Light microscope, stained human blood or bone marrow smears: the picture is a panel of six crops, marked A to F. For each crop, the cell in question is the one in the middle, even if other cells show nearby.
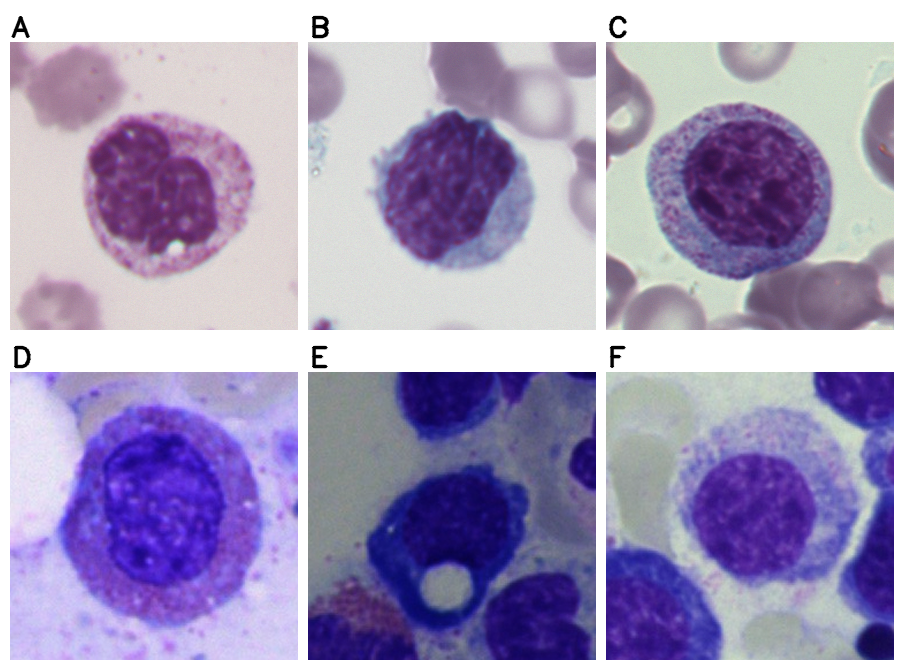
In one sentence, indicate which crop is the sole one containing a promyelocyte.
The crop showing a promyelocyte in this series is crop C.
